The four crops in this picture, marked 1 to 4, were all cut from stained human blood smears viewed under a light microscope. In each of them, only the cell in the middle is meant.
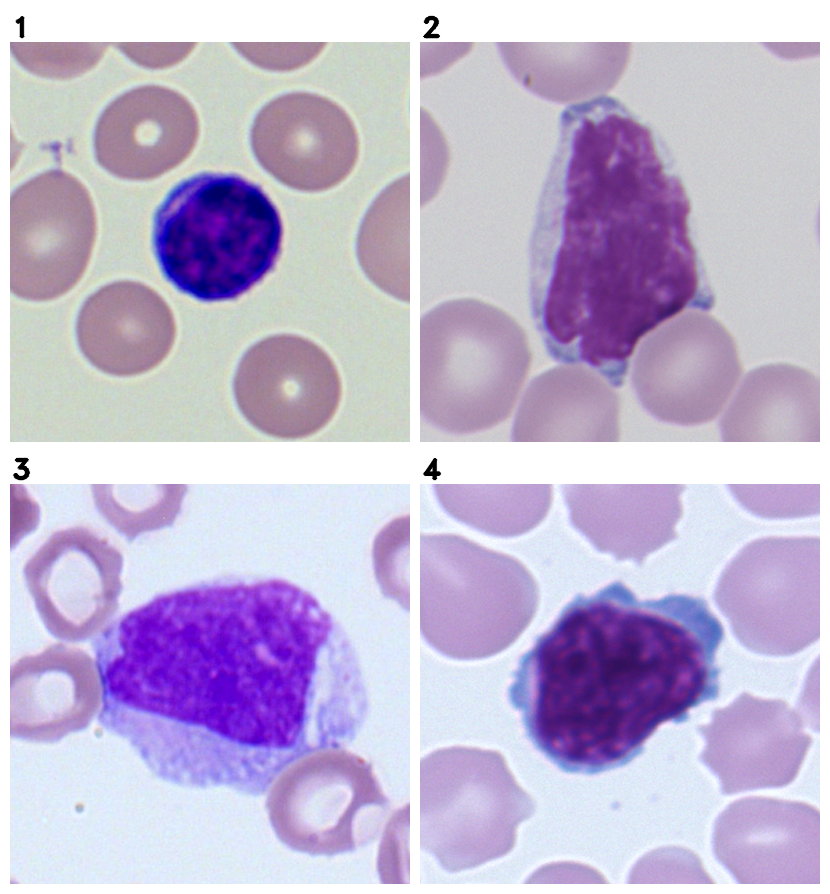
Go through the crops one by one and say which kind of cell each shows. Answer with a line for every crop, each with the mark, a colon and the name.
1: lymphocyte
2: lymphocyte
3: monocyte
4: lymphocyte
